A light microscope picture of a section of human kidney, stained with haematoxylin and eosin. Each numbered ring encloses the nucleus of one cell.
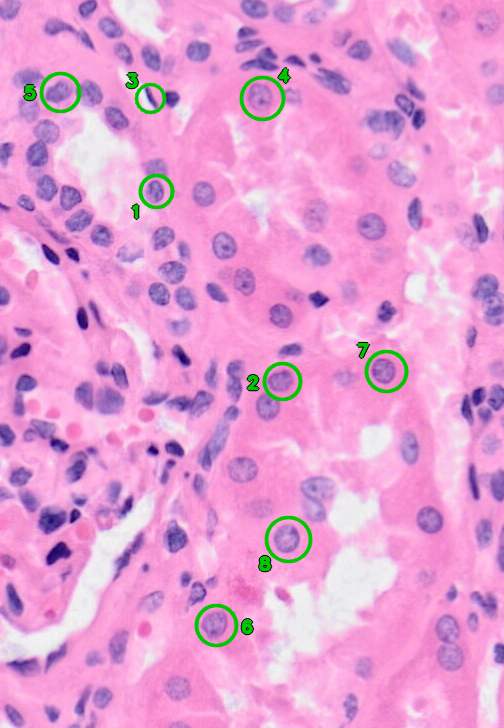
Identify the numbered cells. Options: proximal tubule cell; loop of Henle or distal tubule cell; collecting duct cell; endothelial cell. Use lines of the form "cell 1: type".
cell 1: loop of Henle or distal tubule cell
cell 2: proximal tubule cell
cell 3: endothelial cell
cell 4: proximal tubule cell
cell 5: loop of Henle or distal tubule cell
cell 6: proximal tubule cell
cell 7: proximal tubule cell
cell 8: proximal tubule cell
